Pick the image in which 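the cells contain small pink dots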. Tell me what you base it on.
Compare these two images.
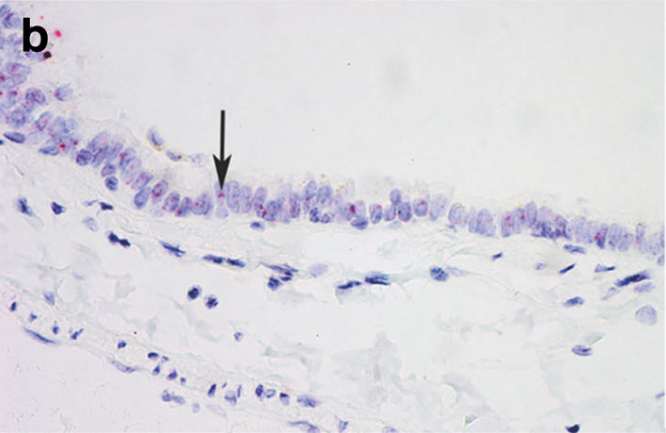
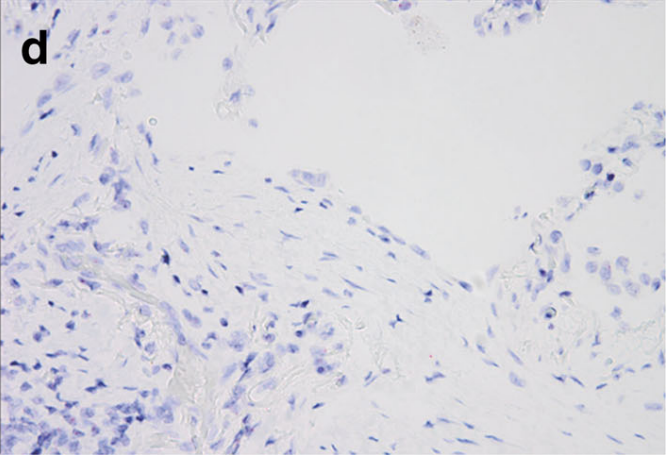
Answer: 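The first image. Second image: blue-stained spindle and round cells with no pink dots visible. First image: small pink dots scattered in the columnar epithelial cells, one indicated by a black arrow.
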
